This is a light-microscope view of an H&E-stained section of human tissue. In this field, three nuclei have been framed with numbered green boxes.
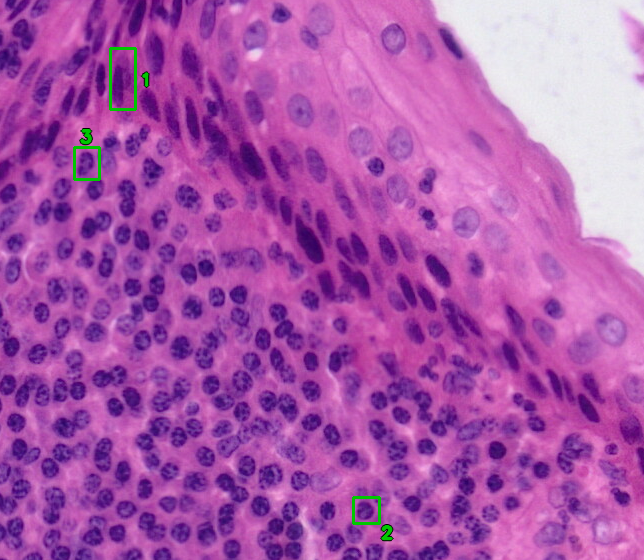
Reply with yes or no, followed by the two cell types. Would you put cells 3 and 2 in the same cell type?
Yes, both are plasma cells.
